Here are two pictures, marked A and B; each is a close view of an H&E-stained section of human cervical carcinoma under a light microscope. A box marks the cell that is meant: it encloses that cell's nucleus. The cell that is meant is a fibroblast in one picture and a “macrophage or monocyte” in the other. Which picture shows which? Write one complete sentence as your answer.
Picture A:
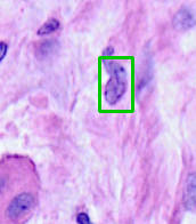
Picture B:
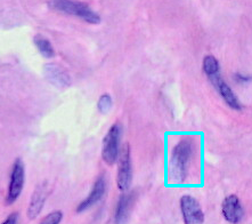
In picture A the cell is a “macrophage or monocyte”; in picture B, a fibroblast.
